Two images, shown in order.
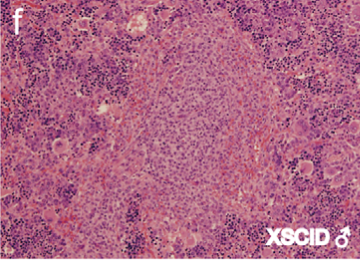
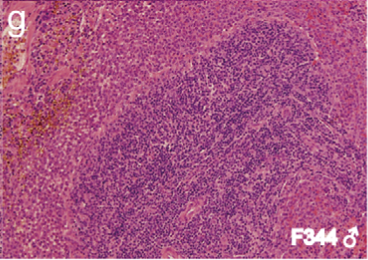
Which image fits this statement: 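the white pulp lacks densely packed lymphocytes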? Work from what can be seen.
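The first image. Second image: a large nodule crowded with small dark-nucleated lymphoid cells. First image: the central nodule is pale pink with few small dark nuclei.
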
